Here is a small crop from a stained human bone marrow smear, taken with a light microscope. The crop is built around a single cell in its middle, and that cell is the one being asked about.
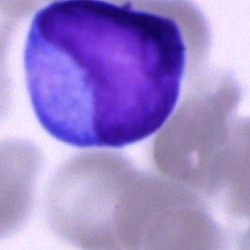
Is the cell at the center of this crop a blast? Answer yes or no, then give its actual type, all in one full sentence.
Yes, the cell here in the middle is a blast.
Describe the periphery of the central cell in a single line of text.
Worth noting that the cell border is smooth and lacks projections.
